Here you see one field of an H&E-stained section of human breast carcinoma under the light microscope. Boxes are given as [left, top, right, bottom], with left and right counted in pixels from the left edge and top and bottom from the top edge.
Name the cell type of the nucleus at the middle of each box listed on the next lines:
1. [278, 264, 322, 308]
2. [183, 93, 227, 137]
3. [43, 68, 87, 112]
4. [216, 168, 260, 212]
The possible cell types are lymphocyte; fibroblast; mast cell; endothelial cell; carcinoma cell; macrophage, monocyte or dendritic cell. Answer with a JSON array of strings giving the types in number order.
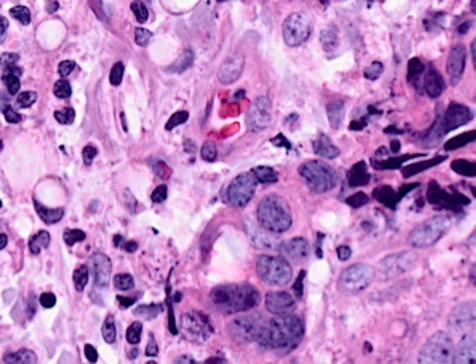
["carcinoma cell", "endothelial cell", "lymphocyte", "carcinoma cell"]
